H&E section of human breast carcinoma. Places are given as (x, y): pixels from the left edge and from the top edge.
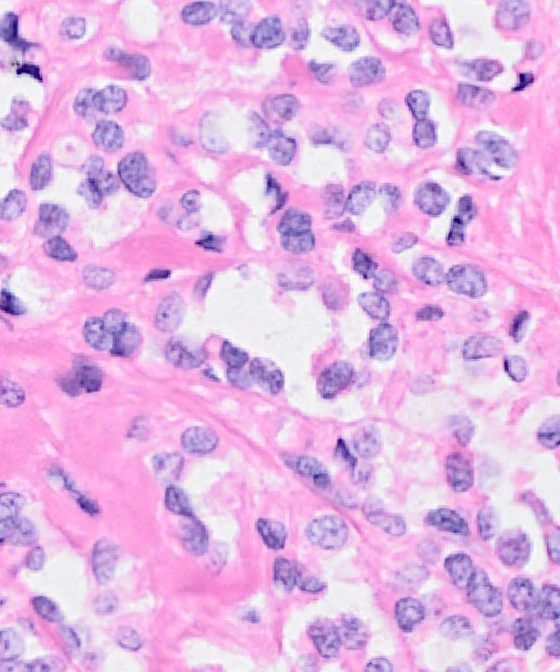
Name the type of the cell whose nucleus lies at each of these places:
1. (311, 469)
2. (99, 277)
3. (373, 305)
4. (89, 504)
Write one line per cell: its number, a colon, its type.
1: endothelial cell
2: carcinoma cell
3: carcinoma cell
4: endothelial cell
